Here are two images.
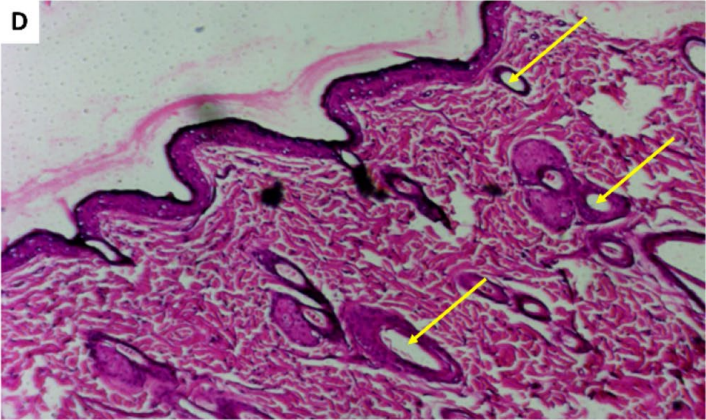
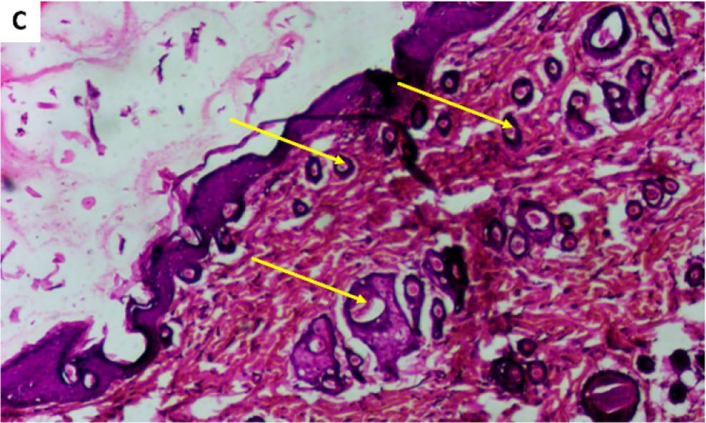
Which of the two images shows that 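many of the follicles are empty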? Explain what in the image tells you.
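First image: the follicles pointed to have a pale, clear lumen without a hair shaft. So: the first image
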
